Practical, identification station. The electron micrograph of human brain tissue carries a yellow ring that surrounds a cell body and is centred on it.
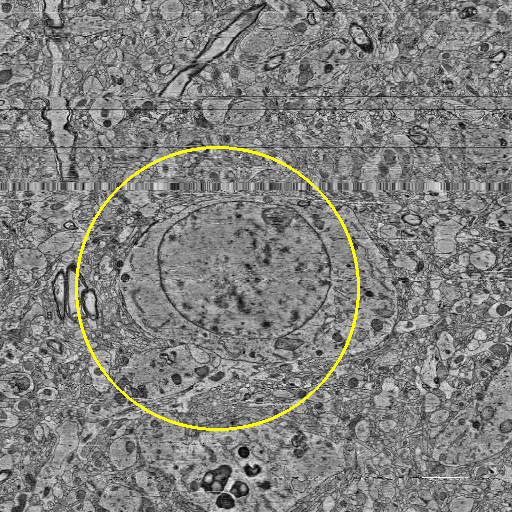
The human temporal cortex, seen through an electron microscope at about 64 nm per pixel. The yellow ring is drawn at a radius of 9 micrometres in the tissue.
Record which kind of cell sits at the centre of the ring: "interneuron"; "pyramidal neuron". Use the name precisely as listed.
pyramidal neuron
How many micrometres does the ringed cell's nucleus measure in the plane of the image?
About 11 by 9 micrometers for the nucleus, in this plane.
